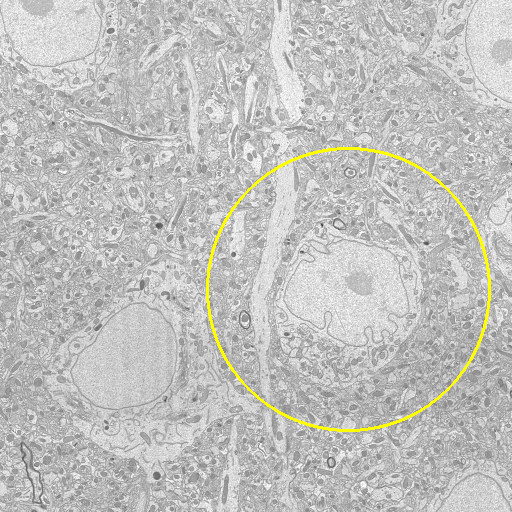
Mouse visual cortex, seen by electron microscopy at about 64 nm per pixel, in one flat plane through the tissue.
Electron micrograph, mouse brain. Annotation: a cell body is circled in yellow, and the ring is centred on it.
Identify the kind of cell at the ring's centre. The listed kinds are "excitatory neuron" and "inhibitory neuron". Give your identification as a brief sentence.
The circled cell body is that of an inhibitory neuron.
